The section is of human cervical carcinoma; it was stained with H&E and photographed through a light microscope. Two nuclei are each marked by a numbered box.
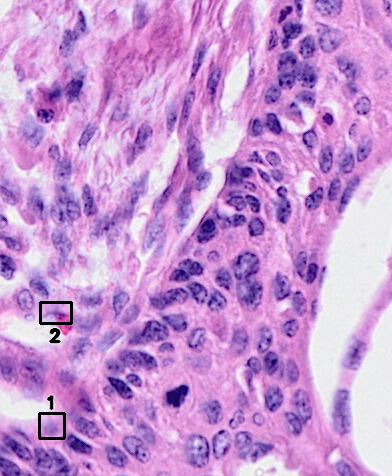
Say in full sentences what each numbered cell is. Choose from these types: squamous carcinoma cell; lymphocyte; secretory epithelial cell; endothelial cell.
Cell 1 is a squamous carcinoma cell. Cell 2 is an endothelial cell.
